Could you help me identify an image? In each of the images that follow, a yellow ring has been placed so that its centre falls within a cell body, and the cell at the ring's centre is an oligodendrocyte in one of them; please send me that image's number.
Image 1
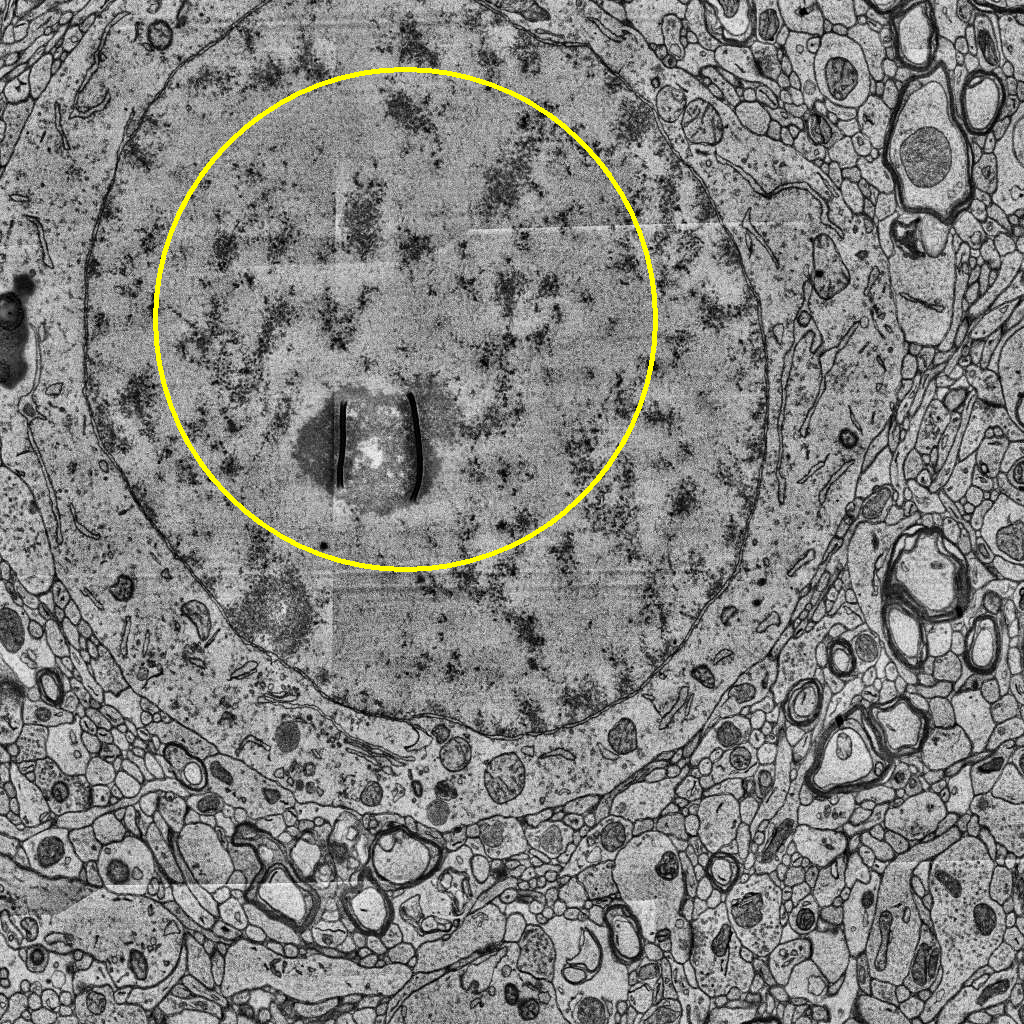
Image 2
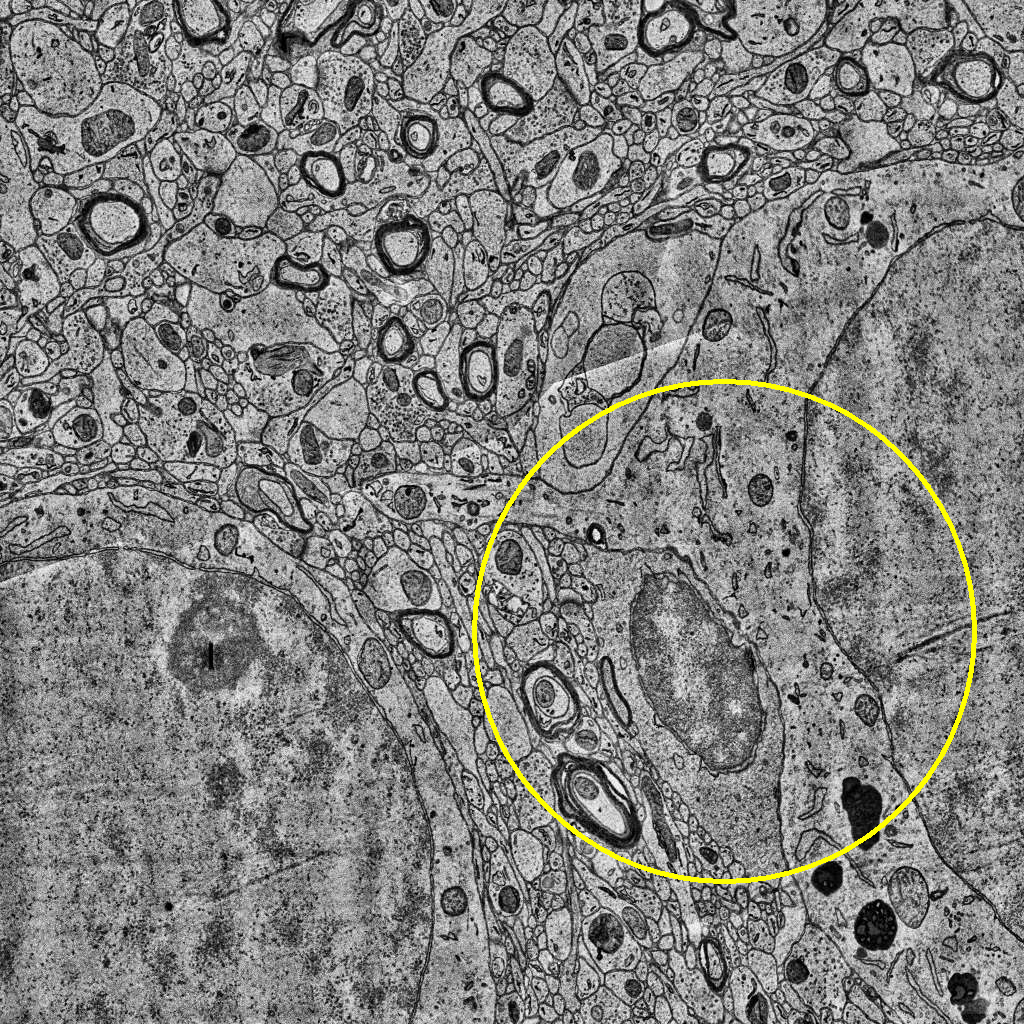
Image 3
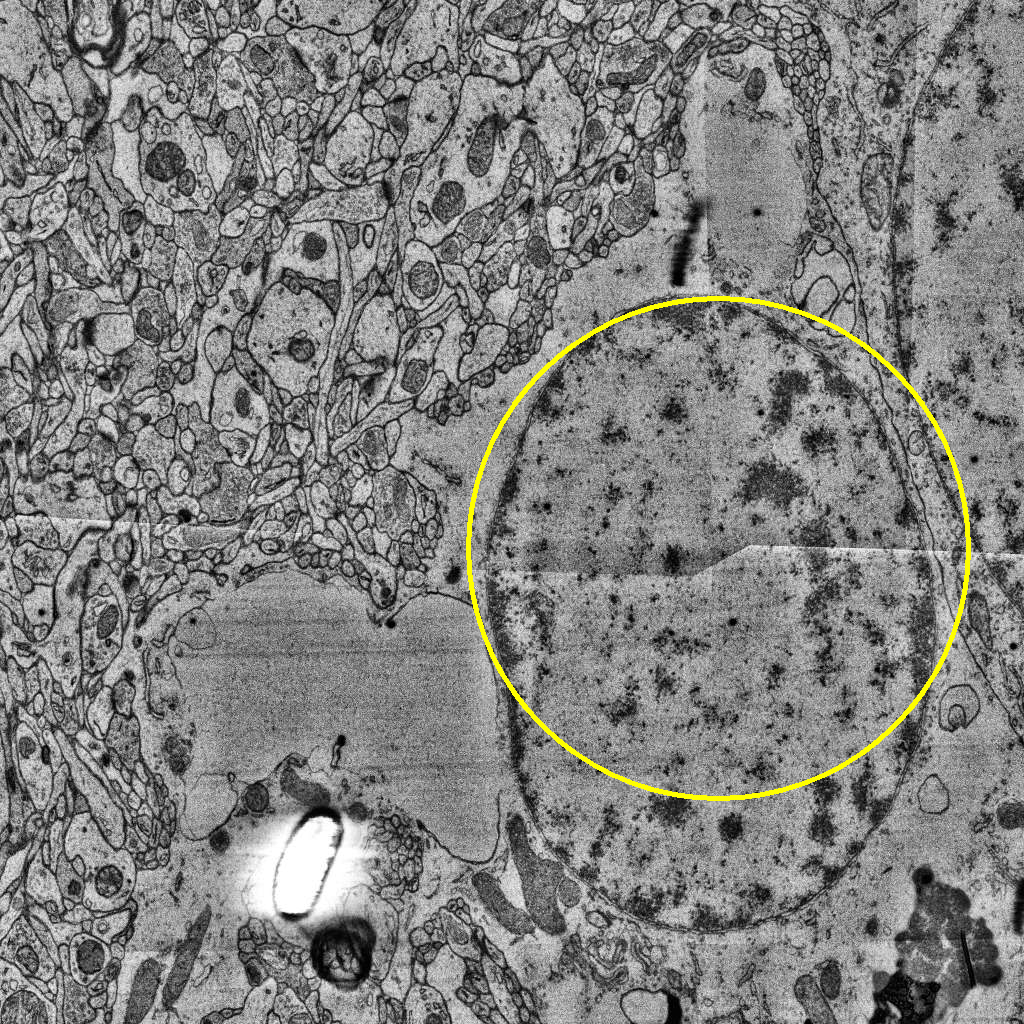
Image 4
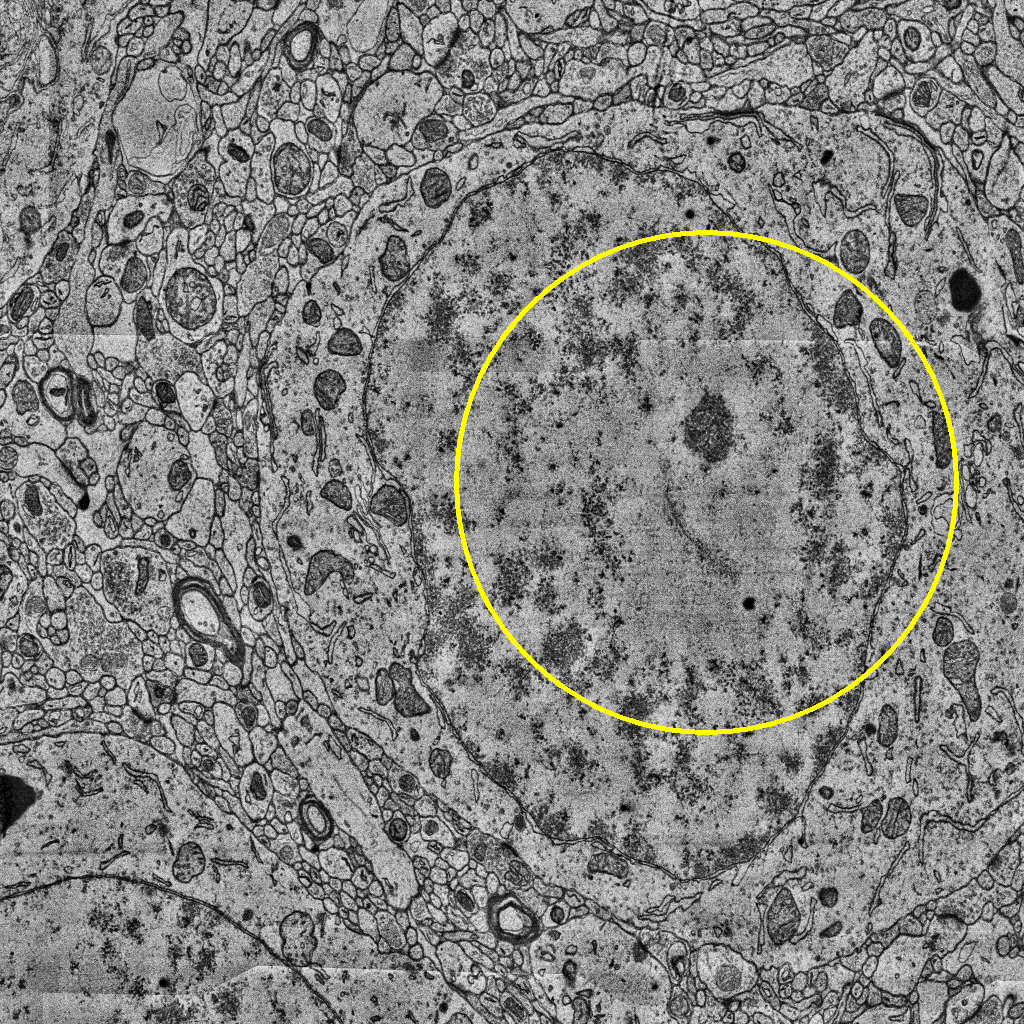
2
